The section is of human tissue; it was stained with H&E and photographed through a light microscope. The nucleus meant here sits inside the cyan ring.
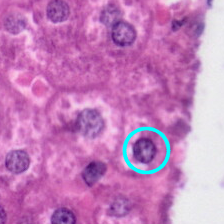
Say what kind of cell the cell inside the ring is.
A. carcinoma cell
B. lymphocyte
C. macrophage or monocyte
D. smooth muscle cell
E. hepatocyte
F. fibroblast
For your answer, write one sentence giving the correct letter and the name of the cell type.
Right answer, option E: the cell inside the ring is a hepatocyte.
